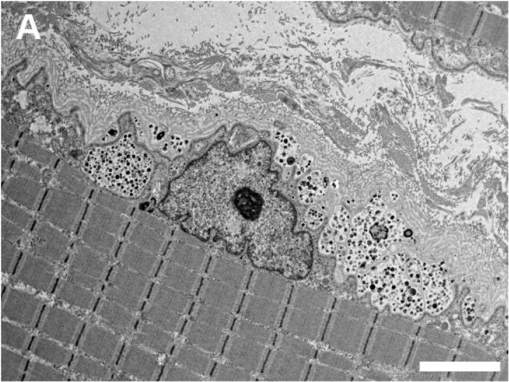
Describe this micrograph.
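Skeletal muscle fibre seen by electron microscopy, with a well-ordered contractile lattice of repeating sarcomeres separated by regularly spaced dark transverse lines. At the fibre surface lies an irregular nucleus with a dense nucleolus, flanked by several rounded membrane-bound vacuoles packed with dark granules and small inclusions, bulging from the fibre edge. Above the fibre surface a layered, somewhat wavy border and an extracellular space containing loose fibrillar material are seen. Despite the vacuolar compartments at the surface, the myofibrillar banding inside the fibre remains regular and intact.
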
